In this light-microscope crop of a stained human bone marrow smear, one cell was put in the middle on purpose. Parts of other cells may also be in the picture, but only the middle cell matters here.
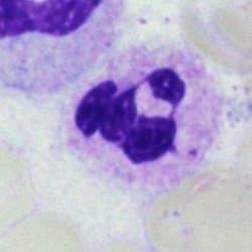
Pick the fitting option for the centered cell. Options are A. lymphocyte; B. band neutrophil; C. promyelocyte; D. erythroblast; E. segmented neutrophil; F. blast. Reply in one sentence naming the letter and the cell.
Identification: the cell in the middle is a segmented neutrophil, matching option E.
